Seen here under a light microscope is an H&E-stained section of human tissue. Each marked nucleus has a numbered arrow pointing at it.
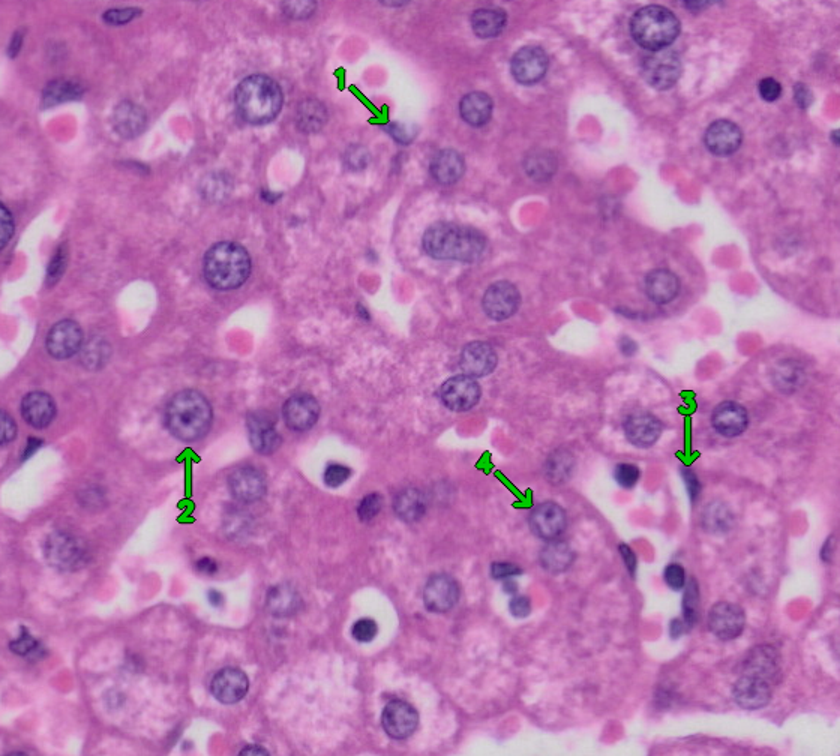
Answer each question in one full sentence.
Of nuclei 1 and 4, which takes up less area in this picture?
The smaller nucleus is 1, and 4 covers roughly 1.5 times its area.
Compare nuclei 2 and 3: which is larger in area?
Of the two, number 2 is bigger and takes up about 4 times the area of number 3.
